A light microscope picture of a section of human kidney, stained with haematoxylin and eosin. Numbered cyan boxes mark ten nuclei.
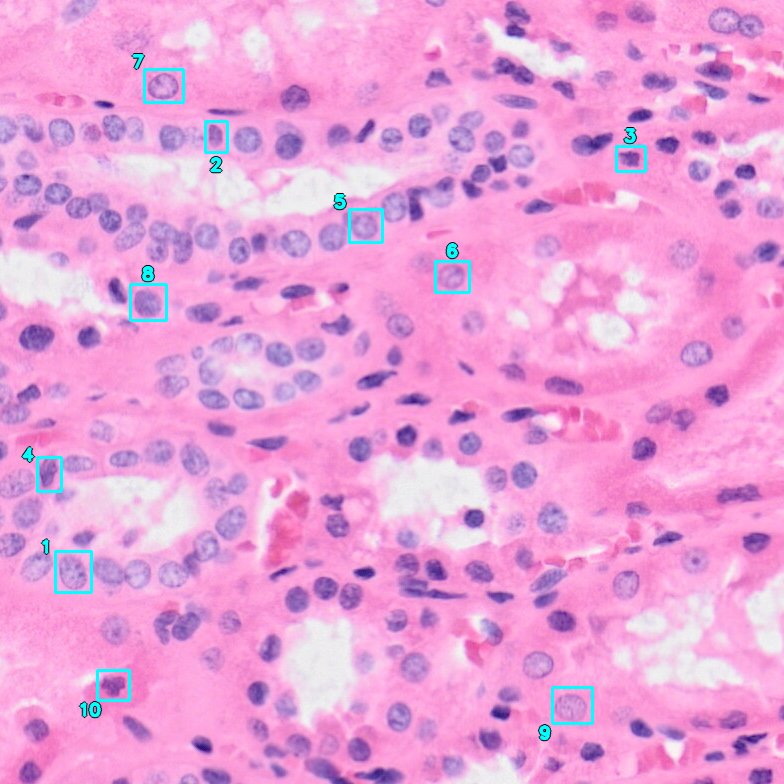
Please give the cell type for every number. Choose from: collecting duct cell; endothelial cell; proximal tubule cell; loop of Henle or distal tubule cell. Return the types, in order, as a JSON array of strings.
["collecting duct cell", "collecting duct cell", "loop of Henle or distal tubule cell", "collecting duct cell", "collecting duct cell", "proximal tubule cell", "proximal tubule cell", "loop of Henle or distal tubule cell", "proximal tubule cell", "proximal tubule cell"]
